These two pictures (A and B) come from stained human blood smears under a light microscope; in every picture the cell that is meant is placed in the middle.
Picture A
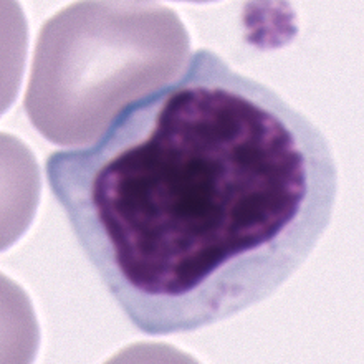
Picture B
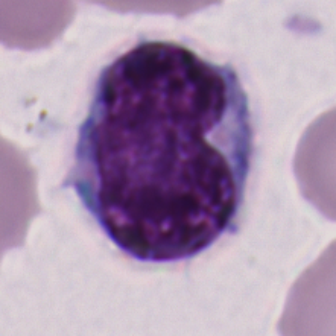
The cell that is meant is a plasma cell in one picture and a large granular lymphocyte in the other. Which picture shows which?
A: large granular lymphocyte
B: plasma cell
